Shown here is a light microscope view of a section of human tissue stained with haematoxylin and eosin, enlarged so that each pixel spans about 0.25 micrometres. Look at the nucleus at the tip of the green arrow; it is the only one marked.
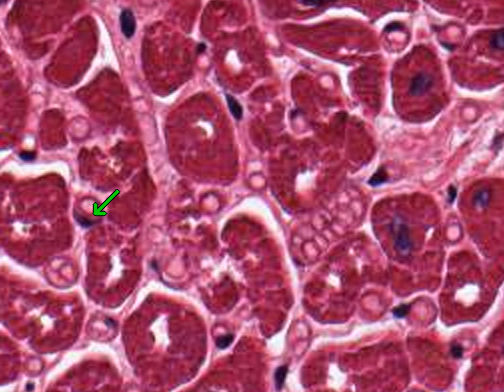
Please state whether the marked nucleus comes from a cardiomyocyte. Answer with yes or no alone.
no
